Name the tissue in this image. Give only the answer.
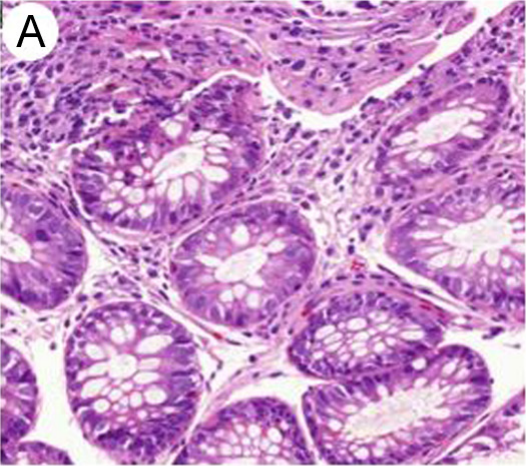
Crypt epithelium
